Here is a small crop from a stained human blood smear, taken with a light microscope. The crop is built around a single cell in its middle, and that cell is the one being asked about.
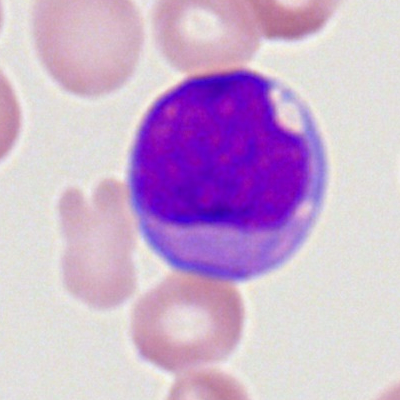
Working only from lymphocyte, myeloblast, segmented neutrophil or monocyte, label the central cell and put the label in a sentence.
For this crop, the central cell is a myeloblast.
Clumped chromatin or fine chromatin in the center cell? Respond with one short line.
The chromatin remains finely textured, with no coarse clumps to speak of.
